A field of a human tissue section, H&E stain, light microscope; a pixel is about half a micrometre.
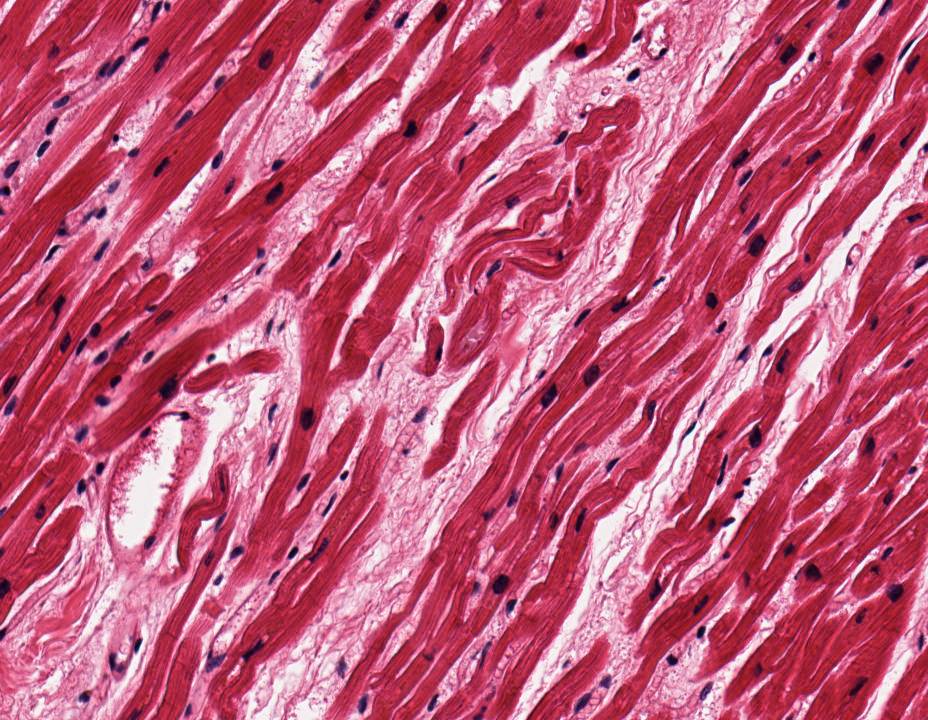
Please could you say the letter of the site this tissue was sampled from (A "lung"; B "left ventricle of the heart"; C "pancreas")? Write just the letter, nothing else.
B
